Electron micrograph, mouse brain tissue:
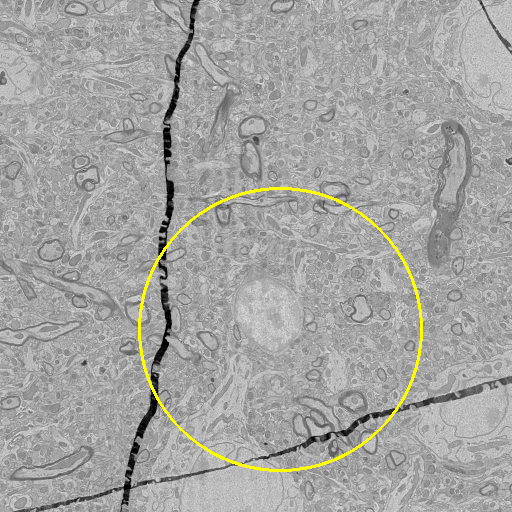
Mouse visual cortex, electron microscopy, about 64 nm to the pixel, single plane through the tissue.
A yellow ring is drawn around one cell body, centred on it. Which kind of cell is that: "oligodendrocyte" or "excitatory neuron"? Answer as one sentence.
It is an oligodendrocyte at the centre of the ring.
